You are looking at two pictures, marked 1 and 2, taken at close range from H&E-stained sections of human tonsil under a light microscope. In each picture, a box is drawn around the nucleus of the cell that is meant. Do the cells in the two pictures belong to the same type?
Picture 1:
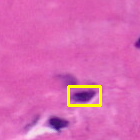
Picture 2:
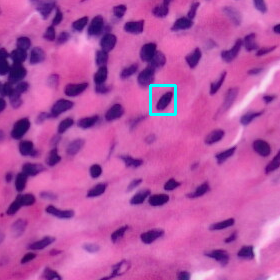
yes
